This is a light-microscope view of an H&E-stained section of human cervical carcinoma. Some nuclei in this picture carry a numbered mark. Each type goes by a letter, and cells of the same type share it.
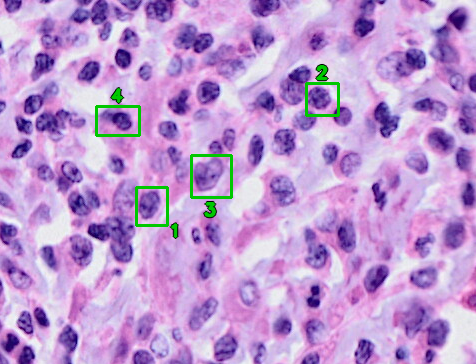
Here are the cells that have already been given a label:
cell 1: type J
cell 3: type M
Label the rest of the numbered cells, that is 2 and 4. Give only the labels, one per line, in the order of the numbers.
type J
type J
